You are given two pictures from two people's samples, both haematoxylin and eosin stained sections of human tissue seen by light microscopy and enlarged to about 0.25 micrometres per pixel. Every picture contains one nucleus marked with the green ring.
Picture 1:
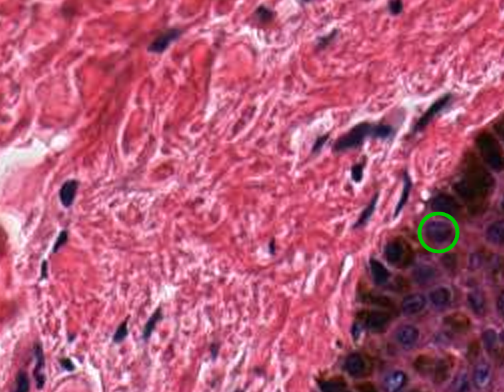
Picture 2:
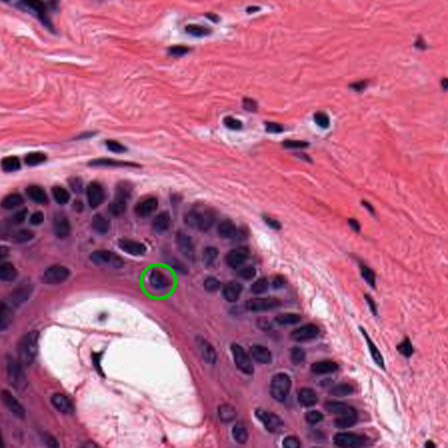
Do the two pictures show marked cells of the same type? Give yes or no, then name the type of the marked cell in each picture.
Yes, both are keratinocytes.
